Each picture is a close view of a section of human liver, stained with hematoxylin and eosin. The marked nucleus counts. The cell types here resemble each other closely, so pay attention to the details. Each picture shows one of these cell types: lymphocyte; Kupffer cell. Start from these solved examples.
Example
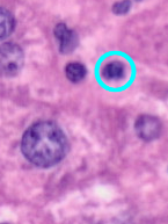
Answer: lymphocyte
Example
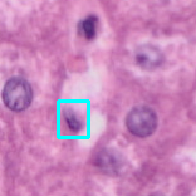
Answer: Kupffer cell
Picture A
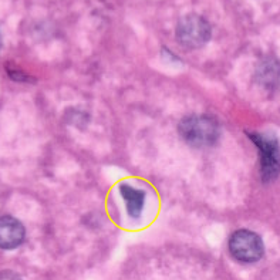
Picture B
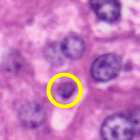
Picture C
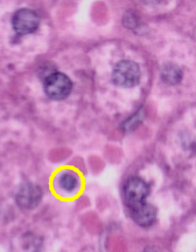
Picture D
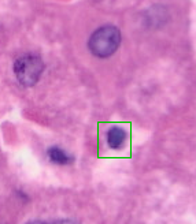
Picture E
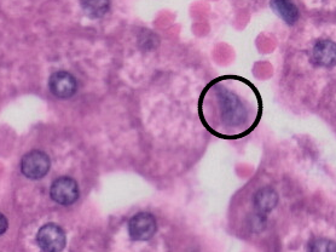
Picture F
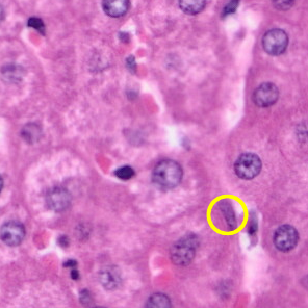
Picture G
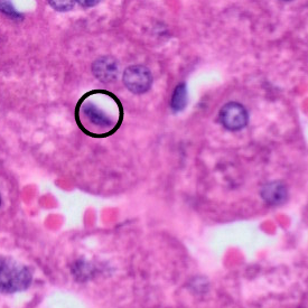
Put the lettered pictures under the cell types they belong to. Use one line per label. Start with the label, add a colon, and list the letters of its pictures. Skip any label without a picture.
lymphocyte: A, C, D
Kupffer cell: B, E, F, G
